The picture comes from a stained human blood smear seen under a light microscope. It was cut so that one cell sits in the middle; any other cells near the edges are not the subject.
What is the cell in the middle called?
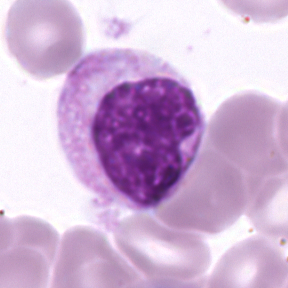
metamyelocyte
